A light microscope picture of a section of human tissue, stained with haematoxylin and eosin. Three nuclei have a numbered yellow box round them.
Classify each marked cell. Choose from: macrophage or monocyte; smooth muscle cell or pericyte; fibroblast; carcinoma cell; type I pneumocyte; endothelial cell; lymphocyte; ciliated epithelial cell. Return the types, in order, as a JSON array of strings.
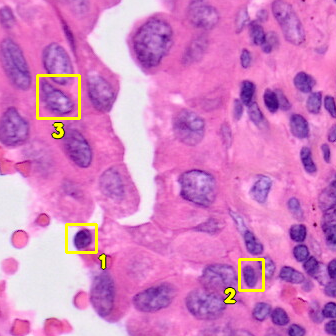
["lymphocyte", "lymphocyte", "carcinoma cell"]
